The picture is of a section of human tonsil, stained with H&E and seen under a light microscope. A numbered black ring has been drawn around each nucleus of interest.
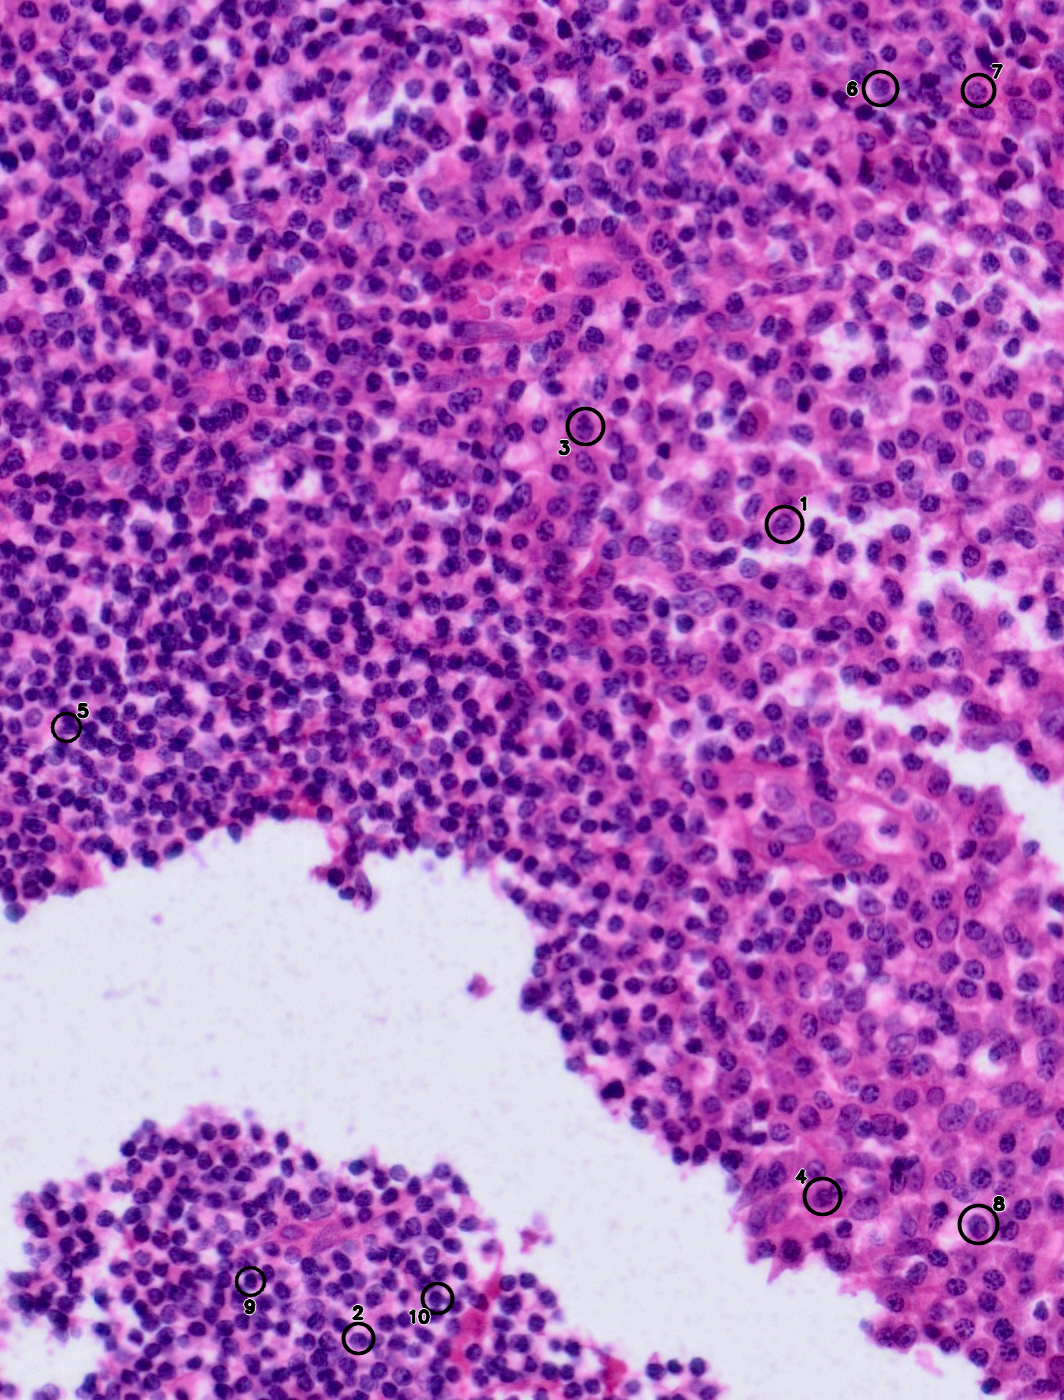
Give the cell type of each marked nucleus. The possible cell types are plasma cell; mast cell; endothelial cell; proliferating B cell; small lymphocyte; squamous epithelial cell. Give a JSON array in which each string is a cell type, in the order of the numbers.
["plasma cell", "small lymphocyte", "plasma cell", "plasma cell", "small lymphocyte", "plasma cell", "plasma cell", "plasma cell", "small lymphocyte", "small lymphocyte"]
